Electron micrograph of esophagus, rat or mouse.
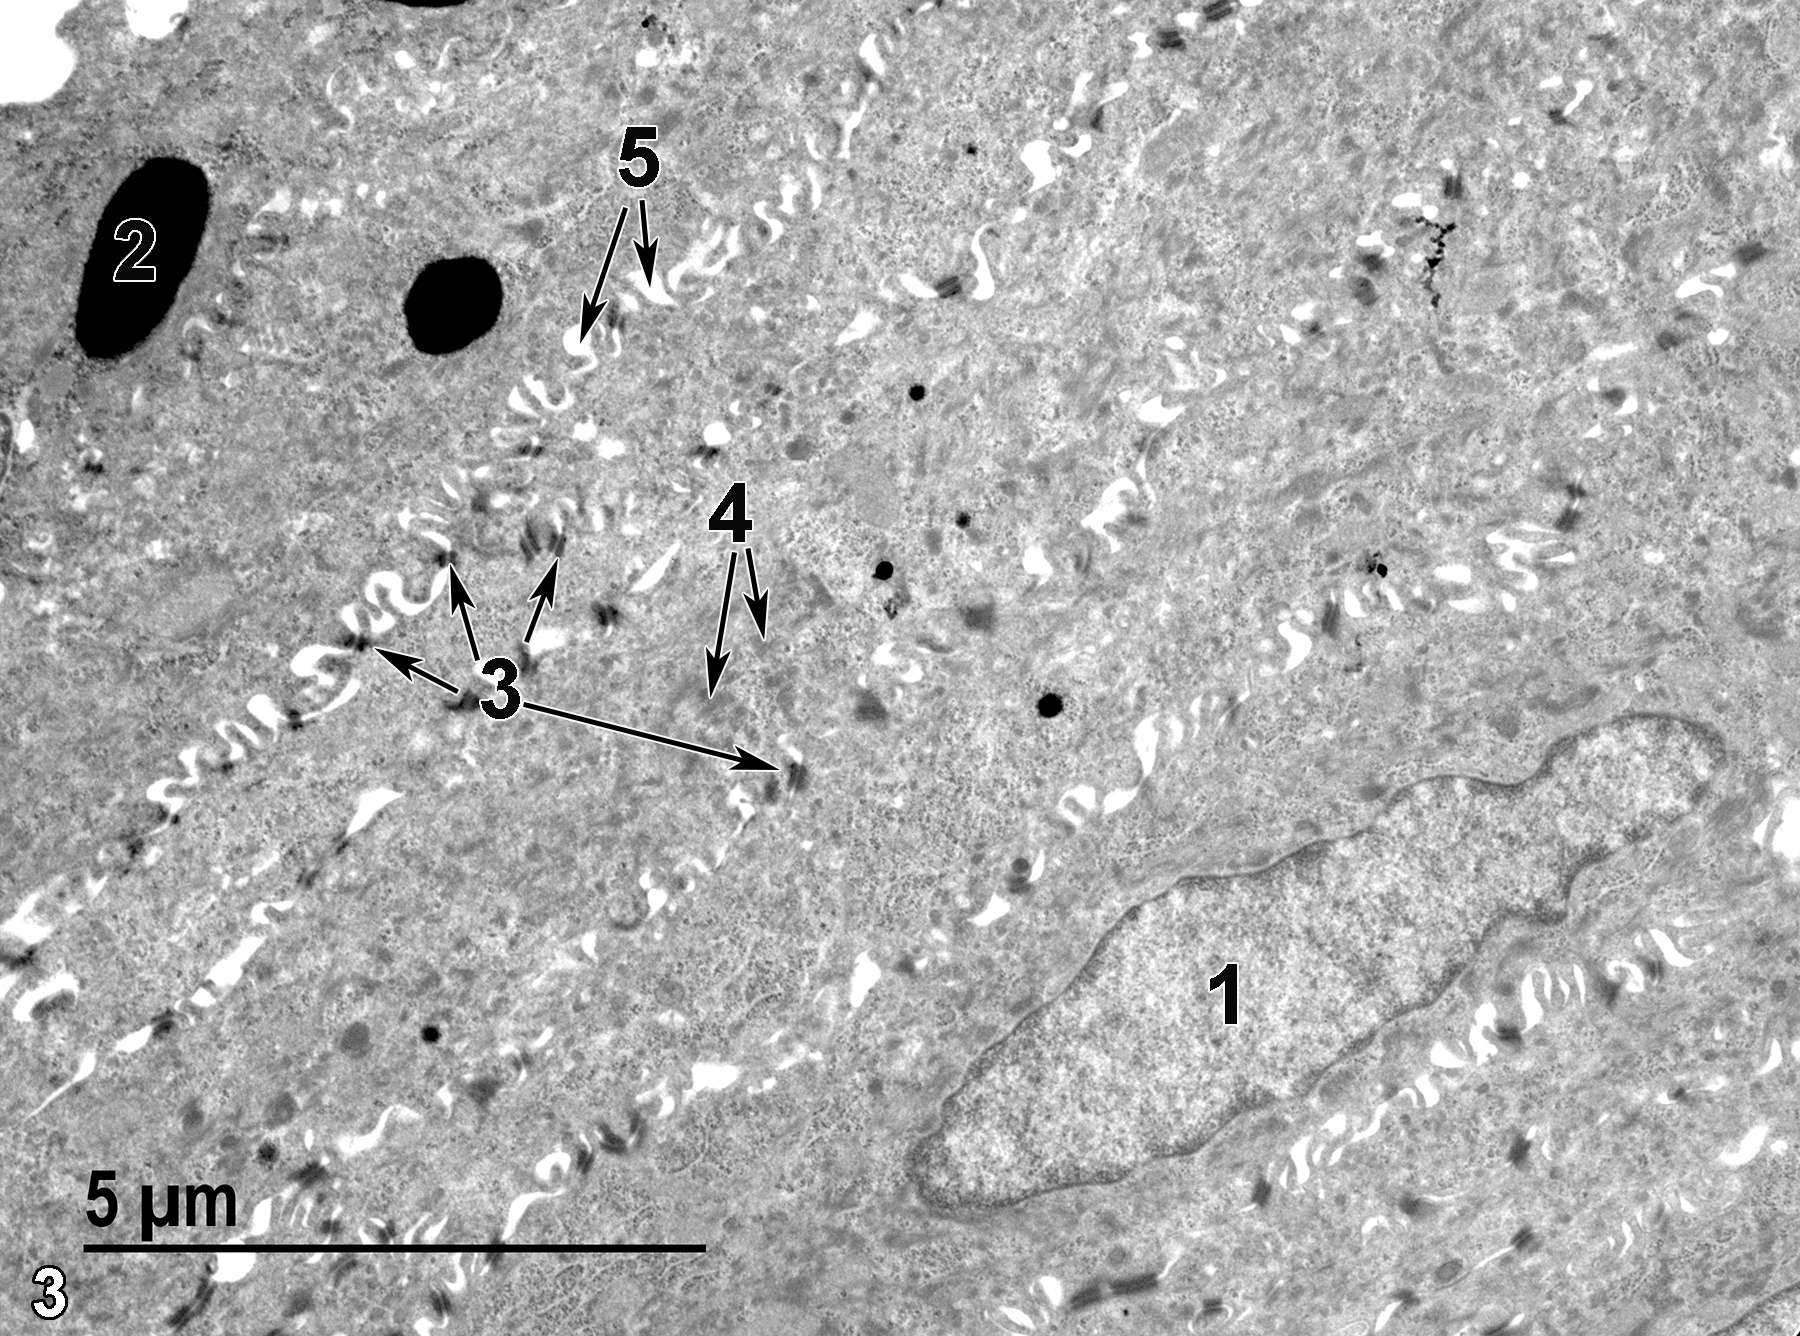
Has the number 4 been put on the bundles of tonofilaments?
Yes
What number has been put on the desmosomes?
3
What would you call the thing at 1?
The number 1 marks the elongated nucleus of an epithelial cell.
